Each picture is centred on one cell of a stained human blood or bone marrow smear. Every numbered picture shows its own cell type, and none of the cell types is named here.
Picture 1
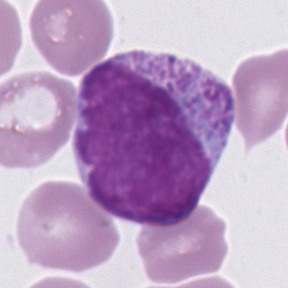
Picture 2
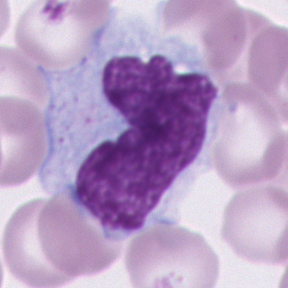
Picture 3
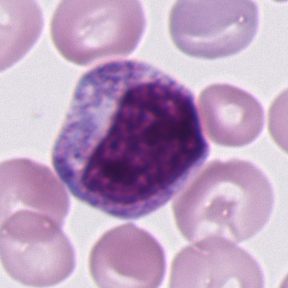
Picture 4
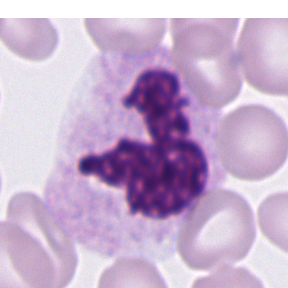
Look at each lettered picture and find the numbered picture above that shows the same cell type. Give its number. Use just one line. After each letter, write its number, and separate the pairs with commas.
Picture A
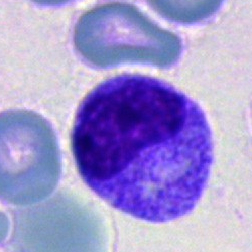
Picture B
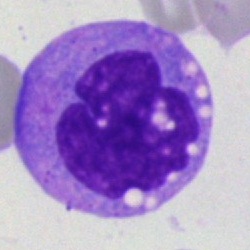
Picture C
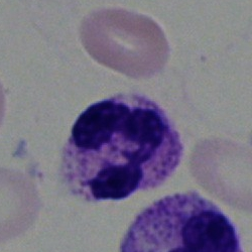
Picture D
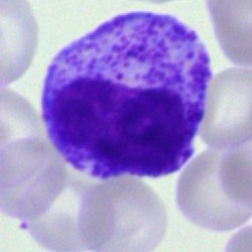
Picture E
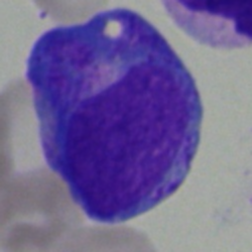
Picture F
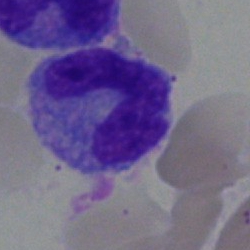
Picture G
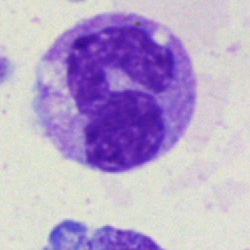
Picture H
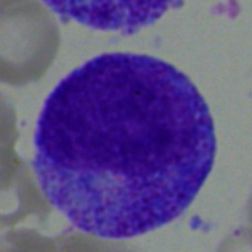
A 3, B 2, C 4, D 3, E 1, F 2, G 2, H 1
